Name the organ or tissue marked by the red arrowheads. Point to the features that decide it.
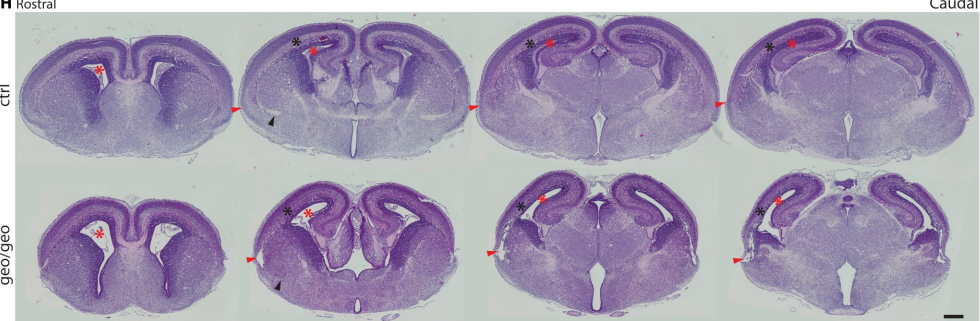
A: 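The red arrowheads point to the ventrolateral surface of the hemisphere. They lie below the dorsal layered cortex, at the lateral edge of the section.
Answer: piriform cortex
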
